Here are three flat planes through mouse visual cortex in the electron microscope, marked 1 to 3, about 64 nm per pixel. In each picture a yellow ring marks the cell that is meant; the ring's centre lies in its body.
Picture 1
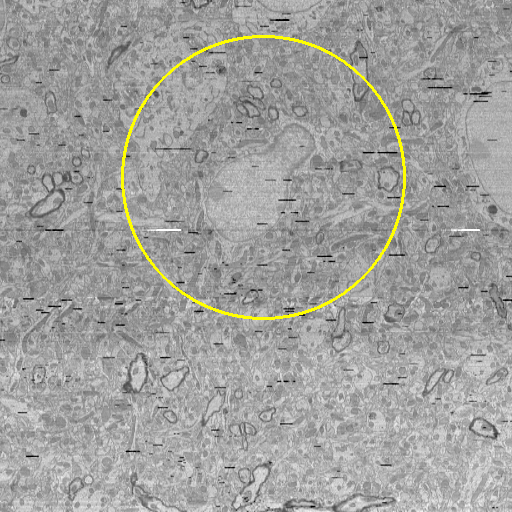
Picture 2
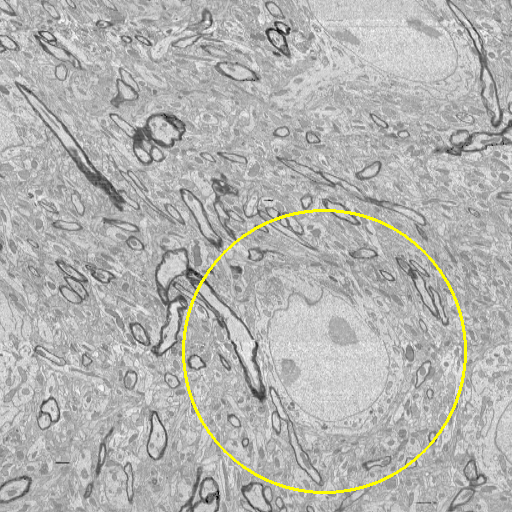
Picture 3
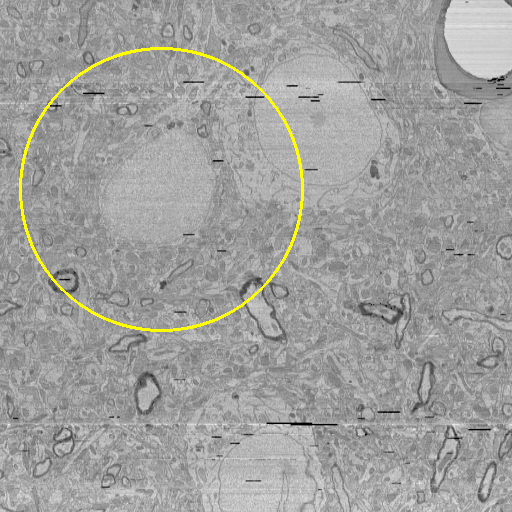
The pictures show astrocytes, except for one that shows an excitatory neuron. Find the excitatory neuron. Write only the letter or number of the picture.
2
